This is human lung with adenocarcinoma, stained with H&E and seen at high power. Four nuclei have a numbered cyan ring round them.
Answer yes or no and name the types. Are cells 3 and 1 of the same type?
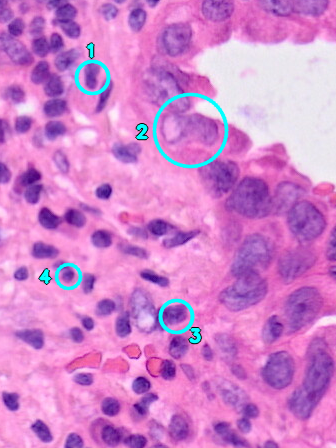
Yes, cells 3 and 1 are both identified as lymphocytes.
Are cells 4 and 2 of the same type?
No, cell 4 is a lymphocyte, and cell 2, on the other hand, is a carcinoma cell.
